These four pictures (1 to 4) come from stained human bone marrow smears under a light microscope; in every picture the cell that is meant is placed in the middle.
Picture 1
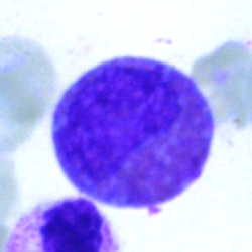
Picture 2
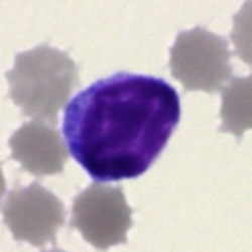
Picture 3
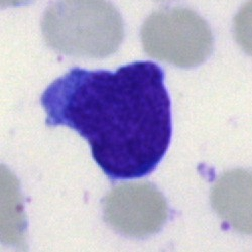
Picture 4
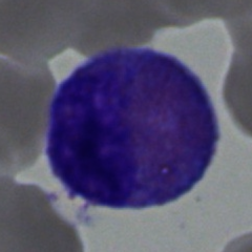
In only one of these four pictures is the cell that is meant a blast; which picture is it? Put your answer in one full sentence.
Picture 3 shows the blast.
